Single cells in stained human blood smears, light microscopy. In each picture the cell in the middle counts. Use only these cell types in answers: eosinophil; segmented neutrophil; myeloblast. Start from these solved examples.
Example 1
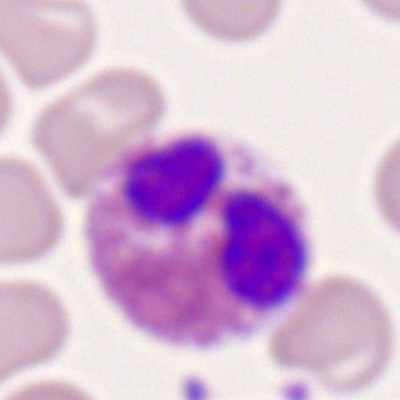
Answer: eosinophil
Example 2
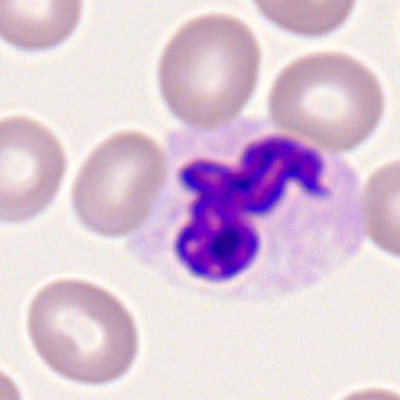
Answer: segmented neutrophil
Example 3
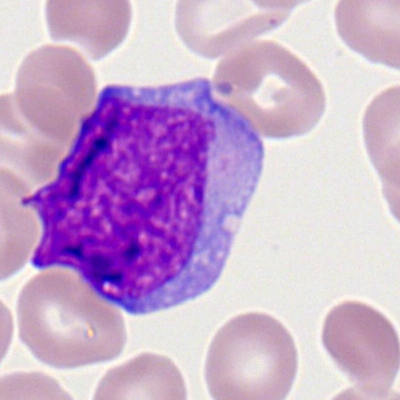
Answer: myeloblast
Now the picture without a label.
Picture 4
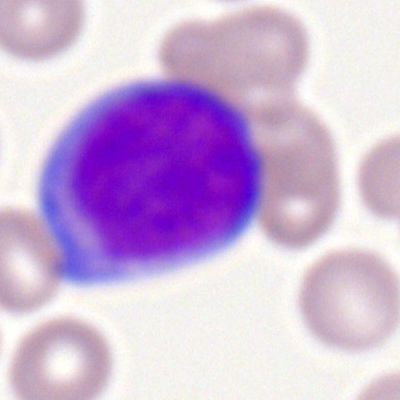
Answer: myeloblast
